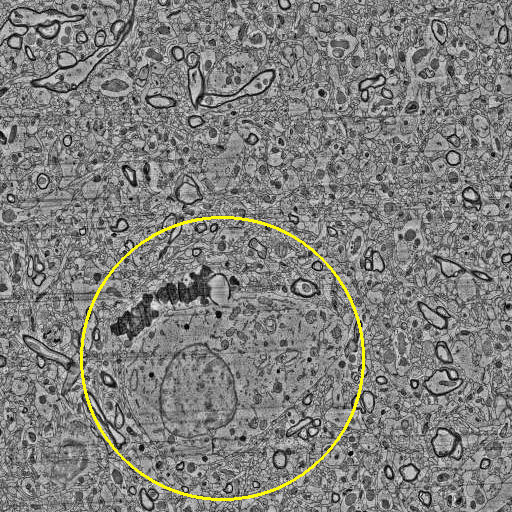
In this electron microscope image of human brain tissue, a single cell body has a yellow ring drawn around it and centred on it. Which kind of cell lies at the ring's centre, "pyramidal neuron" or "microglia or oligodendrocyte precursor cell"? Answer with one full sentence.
It is a pyramidal neuron whose cell body lies at the centre of the yellow ring here.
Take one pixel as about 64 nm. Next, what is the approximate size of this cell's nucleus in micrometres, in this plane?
The nucleus appears about 5 micrometres across in this plane.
